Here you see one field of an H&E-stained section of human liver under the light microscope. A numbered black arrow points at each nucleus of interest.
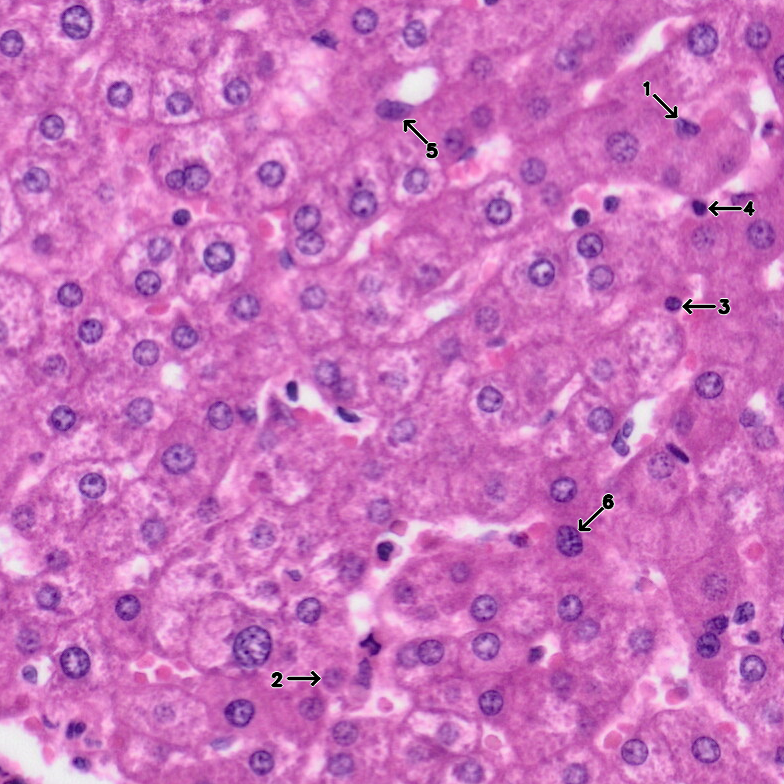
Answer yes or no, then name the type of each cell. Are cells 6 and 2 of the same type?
Yes, both are hepatocytes.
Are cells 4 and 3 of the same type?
Yes, both are lymphocytes.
